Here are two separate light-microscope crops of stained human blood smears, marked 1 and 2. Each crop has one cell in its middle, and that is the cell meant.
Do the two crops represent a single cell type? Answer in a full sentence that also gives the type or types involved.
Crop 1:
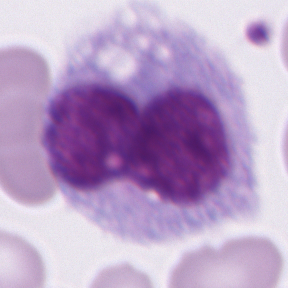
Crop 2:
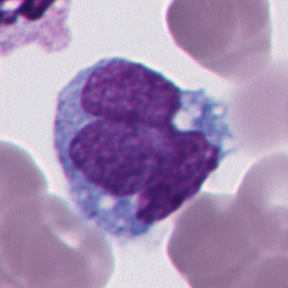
Yes, the centre cells of both crops are monocytes.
